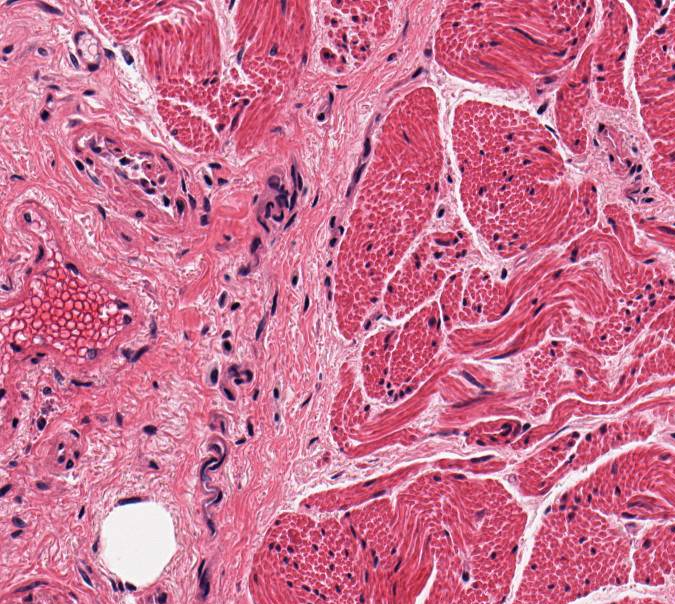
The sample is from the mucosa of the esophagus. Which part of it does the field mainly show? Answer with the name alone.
smooth muscle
